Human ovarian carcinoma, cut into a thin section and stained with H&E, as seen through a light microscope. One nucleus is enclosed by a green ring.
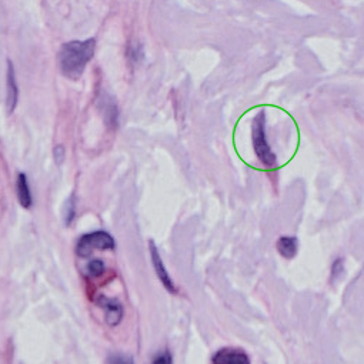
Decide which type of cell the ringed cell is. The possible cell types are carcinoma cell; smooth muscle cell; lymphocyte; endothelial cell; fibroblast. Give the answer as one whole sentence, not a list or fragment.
The correct response here is that the ringed cell is a fibroblast.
